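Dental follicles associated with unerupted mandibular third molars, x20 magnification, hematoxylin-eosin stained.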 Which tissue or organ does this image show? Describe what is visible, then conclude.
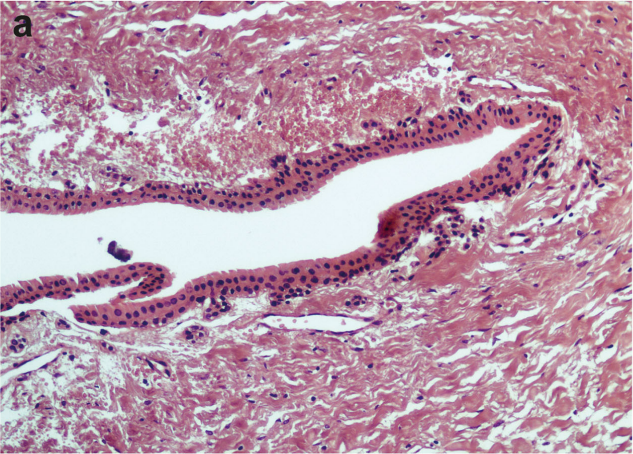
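Reduced enamel epithelium. The lining sits on pink fibrous connective tissue.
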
